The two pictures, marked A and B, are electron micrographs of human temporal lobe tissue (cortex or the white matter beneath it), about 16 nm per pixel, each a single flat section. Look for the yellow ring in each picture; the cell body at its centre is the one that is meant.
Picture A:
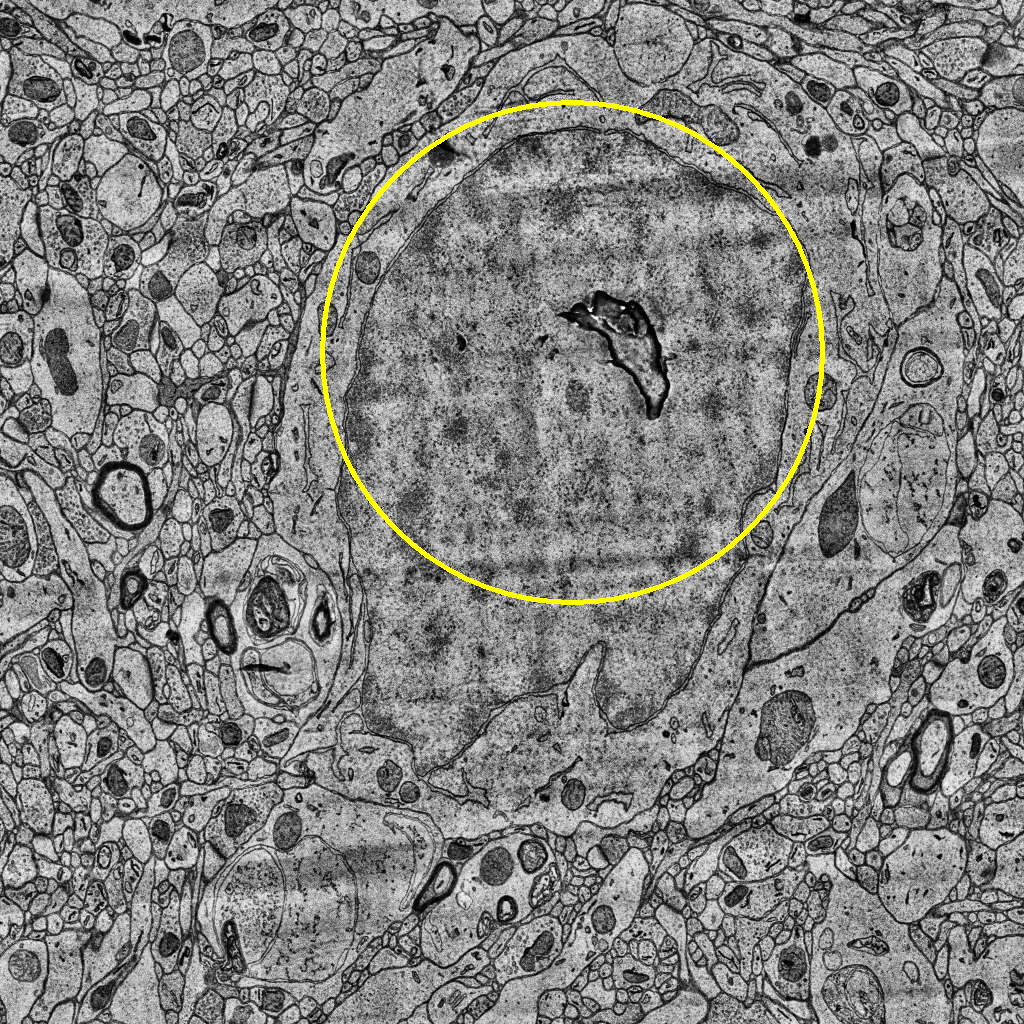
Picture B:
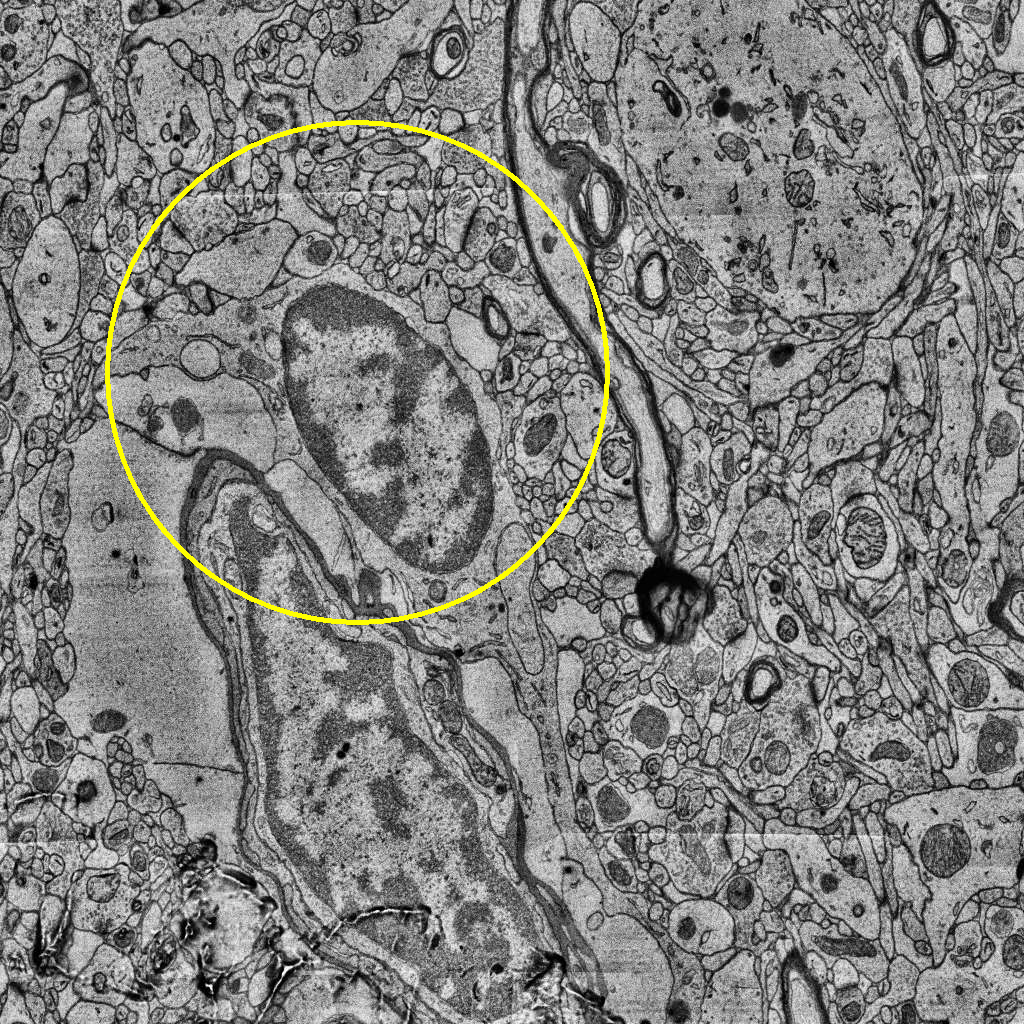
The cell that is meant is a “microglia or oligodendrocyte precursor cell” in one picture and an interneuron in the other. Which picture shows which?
The cell in picture A is an interneuron, and the one in picture B is a “microglia or oligodendrocyte precursor cell”.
